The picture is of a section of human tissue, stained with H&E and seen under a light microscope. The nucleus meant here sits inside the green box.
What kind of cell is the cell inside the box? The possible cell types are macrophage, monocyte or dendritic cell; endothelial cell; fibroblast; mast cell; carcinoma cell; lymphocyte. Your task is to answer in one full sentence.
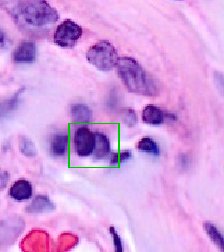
In the context of this tissue, the cell inside the box is a lymphocyte.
